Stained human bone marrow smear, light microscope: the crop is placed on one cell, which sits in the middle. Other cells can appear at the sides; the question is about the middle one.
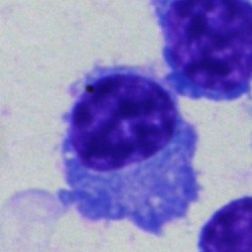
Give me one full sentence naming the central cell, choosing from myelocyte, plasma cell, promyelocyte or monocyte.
In the centre of this crop there is a plasma cell.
